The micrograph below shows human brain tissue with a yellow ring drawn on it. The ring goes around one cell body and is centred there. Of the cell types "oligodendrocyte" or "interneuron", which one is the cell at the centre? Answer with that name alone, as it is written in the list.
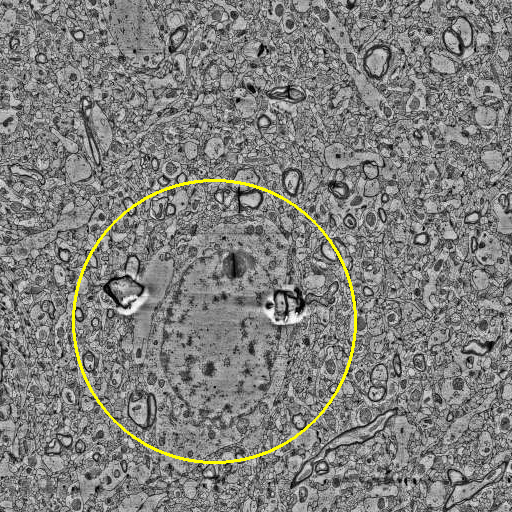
interneuron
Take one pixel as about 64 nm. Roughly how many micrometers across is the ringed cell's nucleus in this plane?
About 11 by 7 micrometers for the nucleus, in this plane.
